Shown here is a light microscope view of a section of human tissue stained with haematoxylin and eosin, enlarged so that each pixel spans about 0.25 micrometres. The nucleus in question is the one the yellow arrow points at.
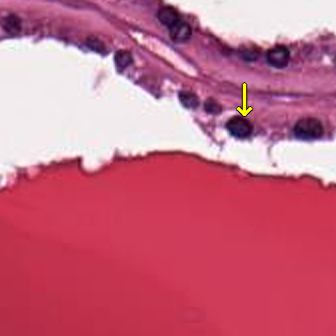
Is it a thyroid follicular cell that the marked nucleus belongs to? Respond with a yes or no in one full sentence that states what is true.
Yes, what is marked here is the nucleus of a thyroid follicular cell.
